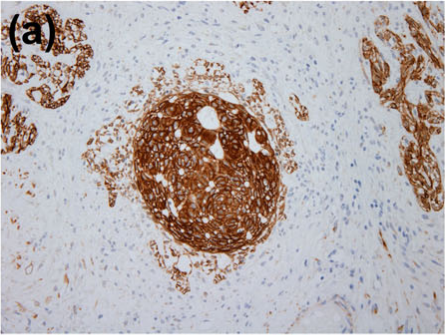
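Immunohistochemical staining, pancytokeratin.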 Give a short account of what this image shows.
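A round, well-defined urothelium-like cell nest lies at the centre, its cells intensely brown throughout the cytoplasm and membranes. Several clear, punched-out spaces sit within the nest. Around it and at the corners, ill-defined irregular clusters of spindled epithelial cells are also stained brown, forming ragged strands rather than a smooth border.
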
